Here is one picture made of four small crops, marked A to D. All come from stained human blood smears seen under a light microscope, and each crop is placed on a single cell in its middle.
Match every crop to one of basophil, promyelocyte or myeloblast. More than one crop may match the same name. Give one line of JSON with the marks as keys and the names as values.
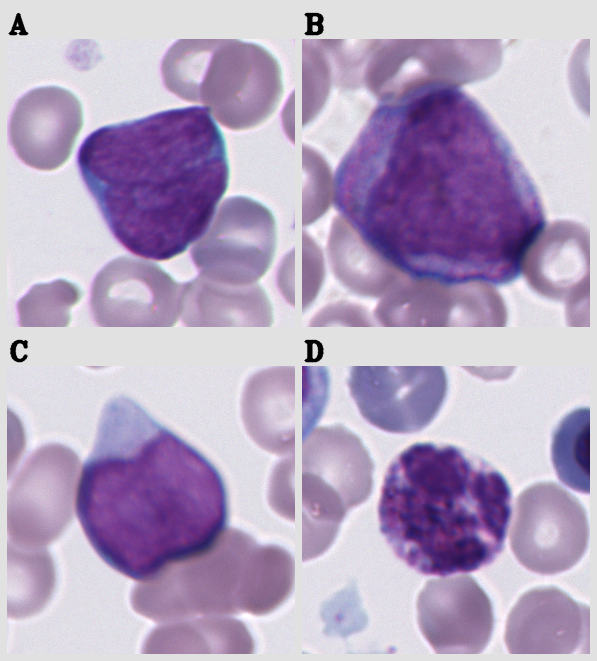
{"A": "myeloblast", "B": "promyelocyte", "C": "myeloblast", "D": "basophil"}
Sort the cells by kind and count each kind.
myeloblast: 2
promyelocyte: 1
basophil: 1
